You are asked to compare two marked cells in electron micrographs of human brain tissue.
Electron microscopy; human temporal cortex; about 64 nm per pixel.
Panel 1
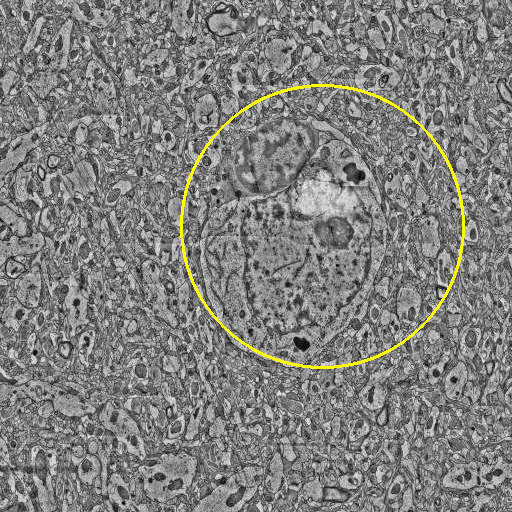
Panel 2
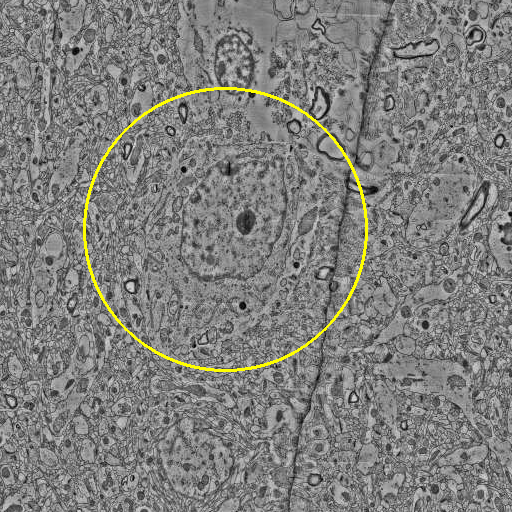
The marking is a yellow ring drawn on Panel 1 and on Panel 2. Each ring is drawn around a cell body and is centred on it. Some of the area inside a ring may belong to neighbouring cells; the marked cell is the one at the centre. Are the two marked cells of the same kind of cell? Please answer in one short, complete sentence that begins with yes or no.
Yes, the two marked cells are of the same kind.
